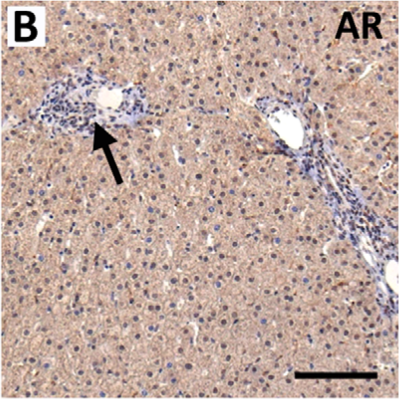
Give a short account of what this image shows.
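Here is liver at low power. The broad field is parenchyma: sheets of hepatocytes with light brown cytoplasm and small dark round nuclei, evenly spread. Crossing it are bands of connective tissue, more blue than brown, crowded with small dark nuclei. Within these bands sit open round lumina of blood vessels, each ringed by densely packed cells. Elsewhere smaller vessel spaces appear as pale holes in the tissue. The contrast between the even, brownish parenchyma and the bluish, cell-rich bands around the vessels is what stands out at this magnification.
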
